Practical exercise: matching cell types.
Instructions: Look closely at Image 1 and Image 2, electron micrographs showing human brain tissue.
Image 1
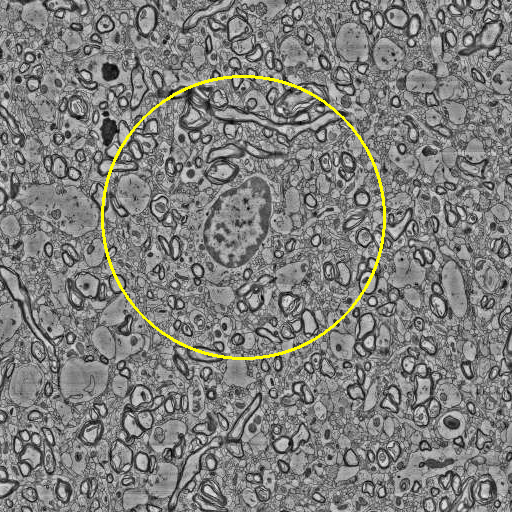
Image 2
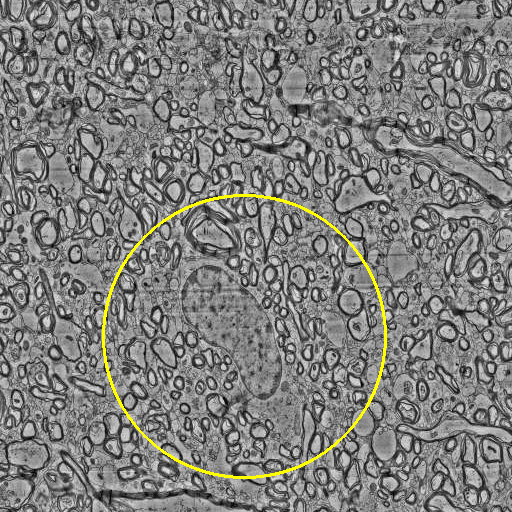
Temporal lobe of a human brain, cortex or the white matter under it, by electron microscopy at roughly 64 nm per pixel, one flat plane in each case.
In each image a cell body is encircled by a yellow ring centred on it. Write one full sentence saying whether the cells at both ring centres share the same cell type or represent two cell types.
Across Image 1 and Image 2, the cells at the ring centres share the same cell type.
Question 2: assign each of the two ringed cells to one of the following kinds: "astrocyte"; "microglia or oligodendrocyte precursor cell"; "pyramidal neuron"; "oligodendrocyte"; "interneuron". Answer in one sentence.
The ring centre holds a microglial cell or oligodendrocyte precursor cell in each of the two pictures.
